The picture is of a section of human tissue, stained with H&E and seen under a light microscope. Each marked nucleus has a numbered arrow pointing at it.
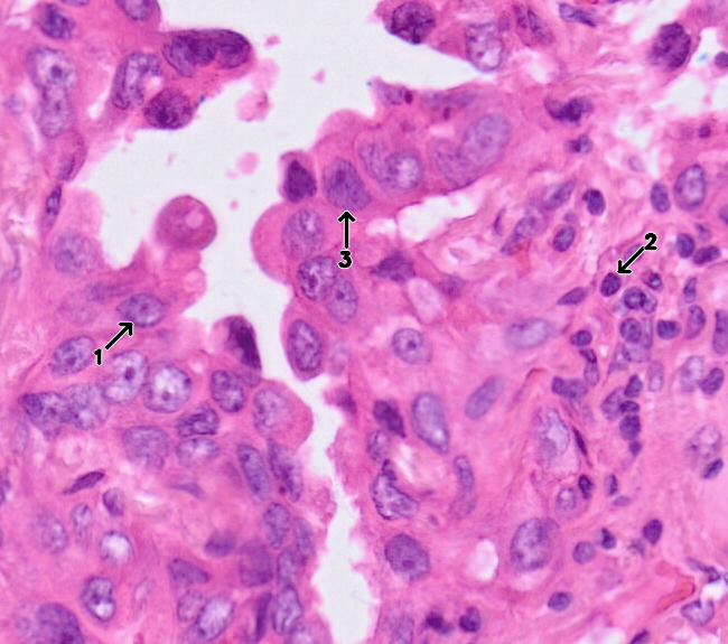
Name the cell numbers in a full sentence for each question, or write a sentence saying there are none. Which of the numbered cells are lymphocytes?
Only number 2 of the marked cells is a lymphocyte.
